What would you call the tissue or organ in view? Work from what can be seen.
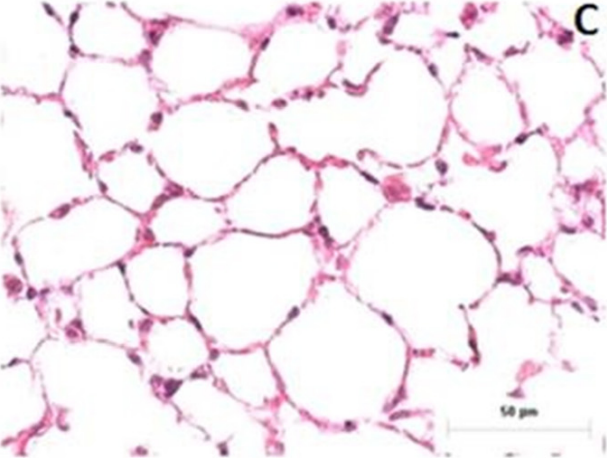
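Lung parenchyma. Many rounded empty air spaces separated by thin pink walls. Walls are one to few cells thick with scattered dark purple nuclei. No large airways or vessels dominate the field.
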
